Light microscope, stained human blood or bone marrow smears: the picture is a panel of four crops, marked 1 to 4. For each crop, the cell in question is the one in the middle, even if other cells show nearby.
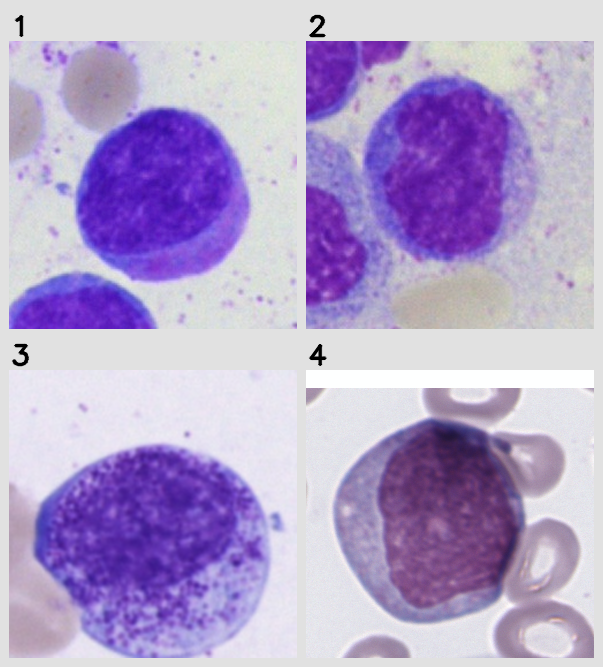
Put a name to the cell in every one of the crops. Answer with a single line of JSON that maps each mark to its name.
{"1": "promyelocyte", "2": "monocyte", "3": "promyelocyte", "4": "promyelocyte"}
